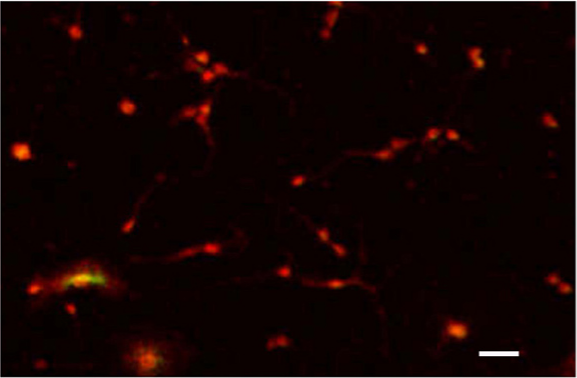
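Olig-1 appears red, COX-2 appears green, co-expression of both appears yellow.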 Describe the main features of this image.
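This dispersed culture shows small oligodendrocytes with rounded red cell bodies scattered over a dark background. Fine, thin red processes run out from many cell bodies, and some of them reach neighbouring cells. Green is nearly absent from the small cells. A few larger, flatter cells at the lower left show a faint mix of red and green.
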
